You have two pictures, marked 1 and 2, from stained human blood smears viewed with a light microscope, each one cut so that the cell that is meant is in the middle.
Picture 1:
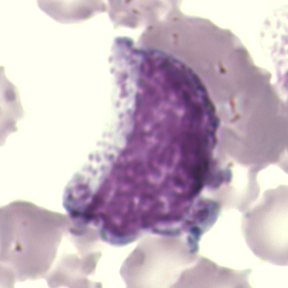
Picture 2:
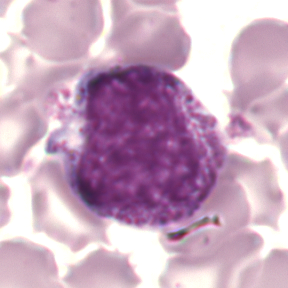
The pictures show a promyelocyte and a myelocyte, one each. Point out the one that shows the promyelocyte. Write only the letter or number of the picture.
1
